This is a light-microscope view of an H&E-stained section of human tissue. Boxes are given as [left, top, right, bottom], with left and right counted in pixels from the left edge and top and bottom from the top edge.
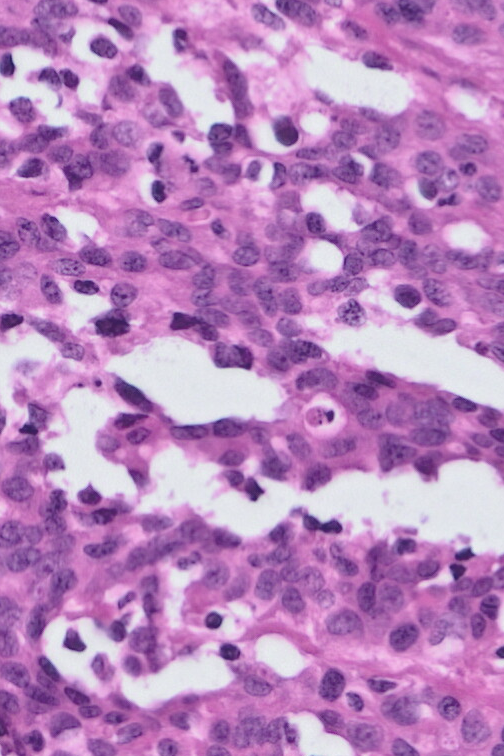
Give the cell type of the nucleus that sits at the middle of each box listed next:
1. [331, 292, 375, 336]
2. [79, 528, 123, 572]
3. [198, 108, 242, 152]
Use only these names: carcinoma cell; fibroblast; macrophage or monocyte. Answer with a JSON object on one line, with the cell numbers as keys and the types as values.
{"1": "macrophage or monocyte", "2": "macrophage or monocyte", "3": "carcinoma cell"}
